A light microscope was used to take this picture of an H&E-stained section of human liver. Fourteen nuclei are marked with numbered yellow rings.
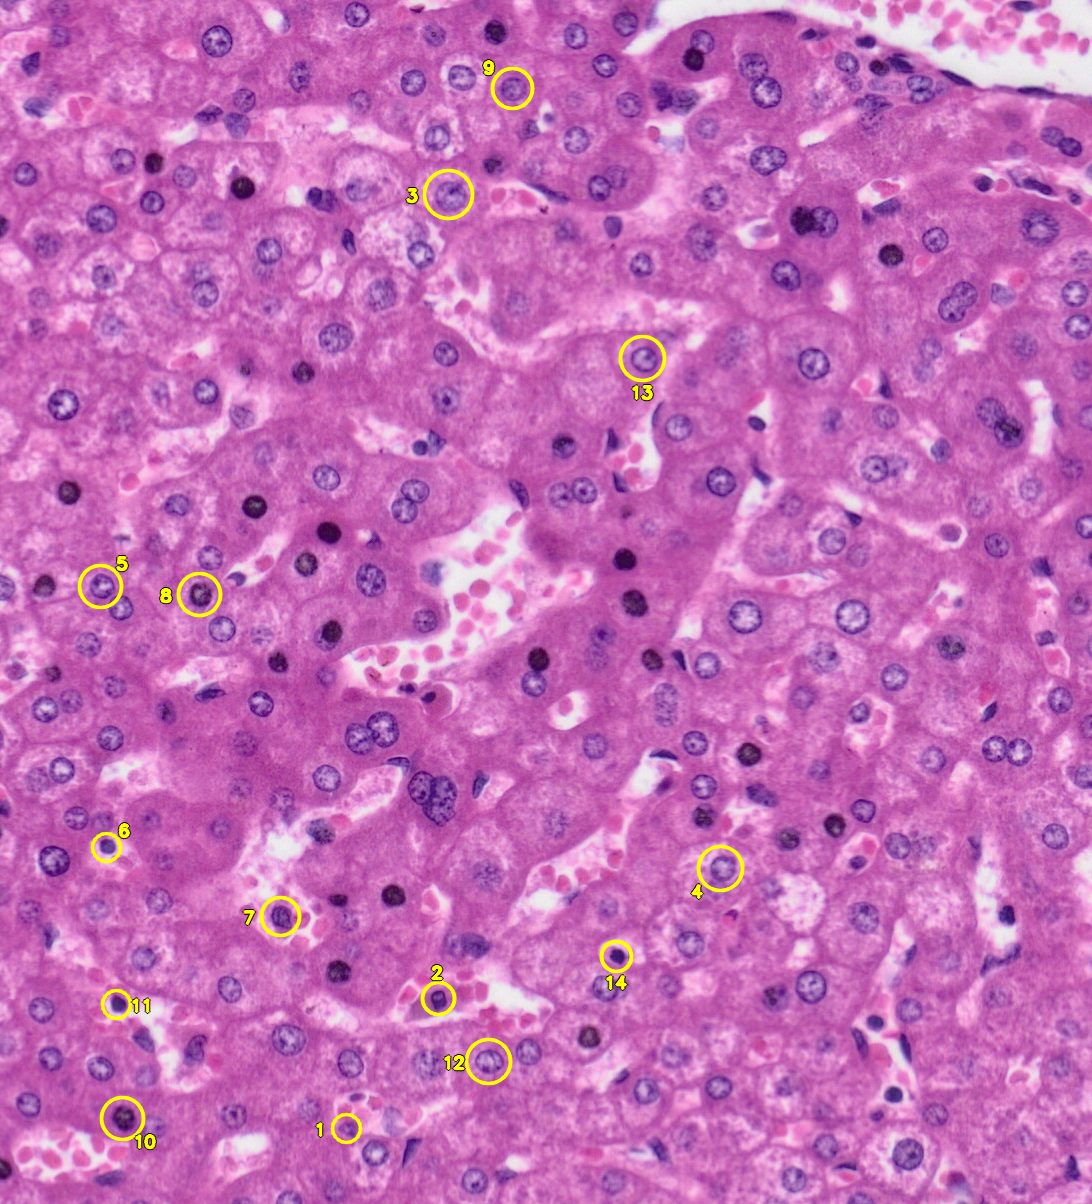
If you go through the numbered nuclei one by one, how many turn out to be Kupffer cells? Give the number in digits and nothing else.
3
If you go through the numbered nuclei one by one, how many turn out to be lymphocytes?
3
